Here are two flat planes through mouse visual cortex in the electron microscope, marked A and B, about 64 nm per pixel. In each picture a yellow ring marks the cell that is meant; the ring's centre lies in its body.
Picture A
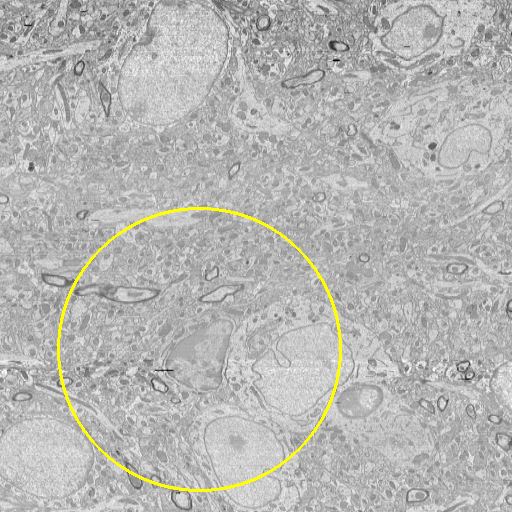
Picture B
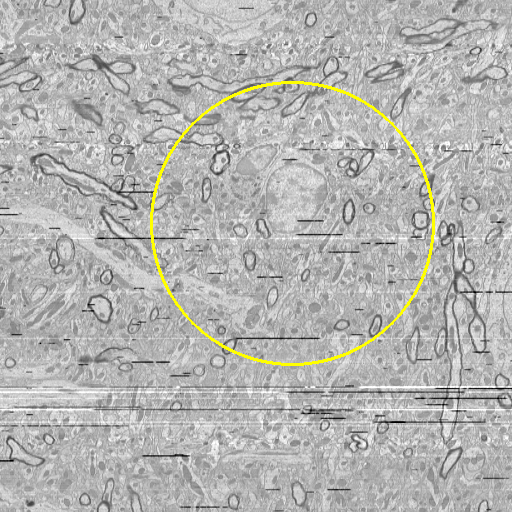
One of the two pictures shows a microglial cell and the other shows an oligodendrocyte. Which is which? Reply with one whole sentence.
Picture A shows a microglial cell and picture B shows an oligodendrocyte.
